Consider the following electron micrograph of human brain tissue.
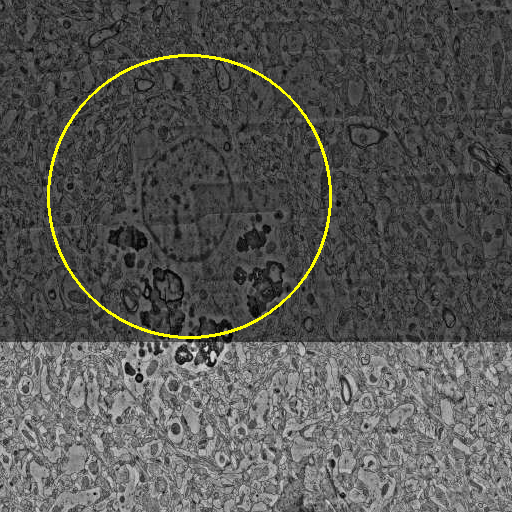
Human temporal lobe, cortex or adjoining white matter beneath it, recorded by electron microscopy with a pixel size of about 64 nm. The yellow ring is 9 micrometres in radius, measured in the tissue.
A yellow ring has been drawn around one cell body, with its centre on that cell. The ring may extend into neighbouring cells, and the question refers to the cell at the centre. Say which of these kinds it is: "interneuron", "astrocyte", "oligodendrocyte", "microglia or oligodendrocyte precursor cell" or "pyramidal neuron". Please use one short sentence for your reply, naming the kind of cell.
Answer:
The centre of the ring falls on an astrocyte.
